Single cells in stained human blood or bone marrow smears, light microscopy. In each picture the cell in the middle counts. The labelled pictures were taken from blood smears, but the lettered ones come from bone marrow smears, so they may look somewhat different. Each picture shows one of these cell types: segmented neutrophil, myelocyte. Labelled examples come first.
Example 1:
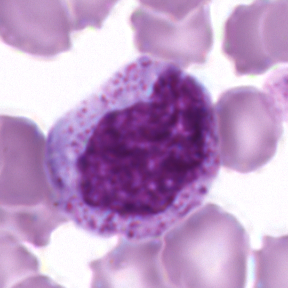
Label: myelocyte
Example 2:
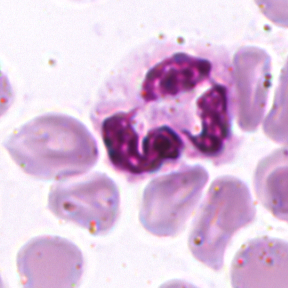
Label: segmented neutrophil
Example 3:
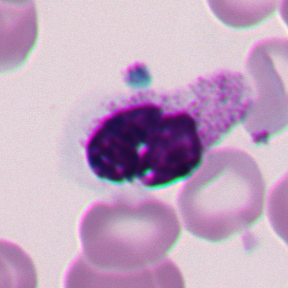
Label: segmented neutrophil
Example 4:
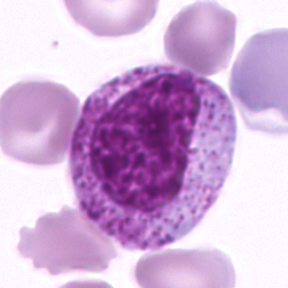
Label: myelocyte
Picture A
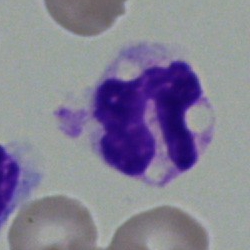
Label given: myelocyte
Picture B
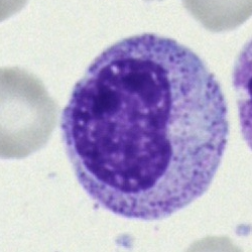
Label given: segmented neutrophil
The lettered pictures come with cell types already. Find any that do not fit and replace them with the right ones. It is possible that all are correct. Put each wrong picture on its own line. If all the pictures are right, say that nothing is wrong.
A should be segmented neutrophil, not myelocyte
B should be myelocyte, not segmented neutrophil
